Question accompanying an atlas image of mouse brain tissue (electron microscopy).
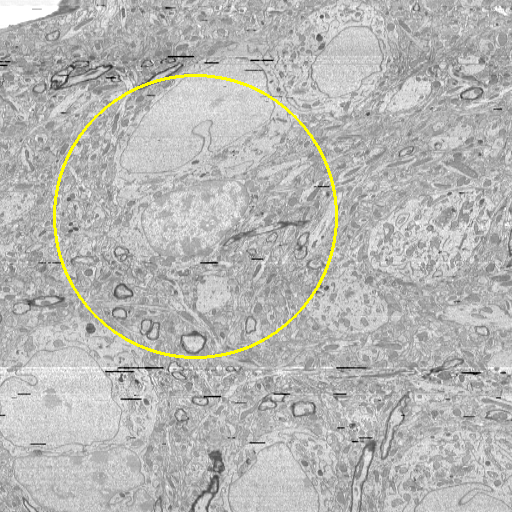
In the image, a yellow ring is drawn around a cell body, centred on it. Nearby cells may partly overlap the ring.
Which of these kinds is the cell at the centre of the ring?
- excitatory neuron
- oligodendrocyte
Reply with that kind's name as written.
oligodendrocyte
